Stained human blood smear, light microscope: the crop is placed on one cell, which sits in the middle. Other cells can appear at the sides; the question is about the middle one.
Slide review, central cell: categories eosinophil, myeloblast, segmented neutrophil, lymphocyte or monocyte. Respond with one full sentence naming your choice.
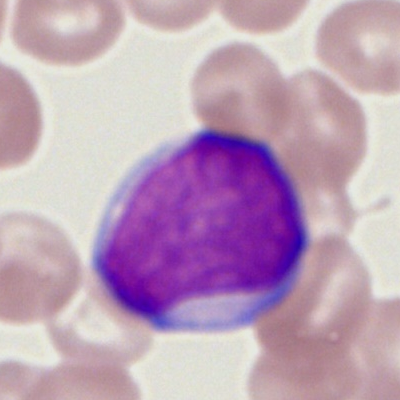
This particular crop is centered on a myeloblast.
